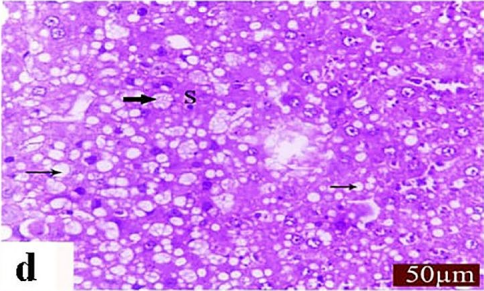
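This liver tissue shows hepatocytes whose cytoplasm is riddled with round clear vacuoles of many sizes. In much of the field, especially on the left, the vacuoles are so numerous that the tissue looks foamy and the usual radiating cords can no longer be made out. Between the vacuoles lie scattered small, dark, condensed nuclei. Toward the right the cells are less vacuolated but still show small clear spaces. Overall the normal orderly cord arrangement is lost.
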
